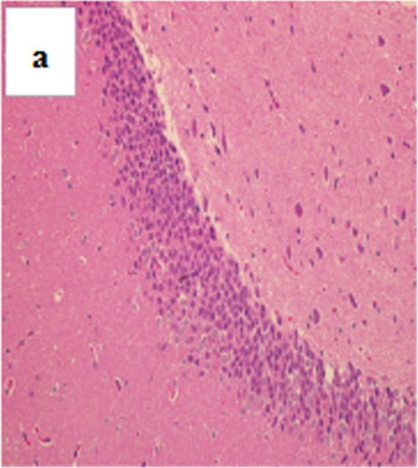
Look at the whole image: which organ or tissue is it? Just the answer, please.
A: Hippocampus.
